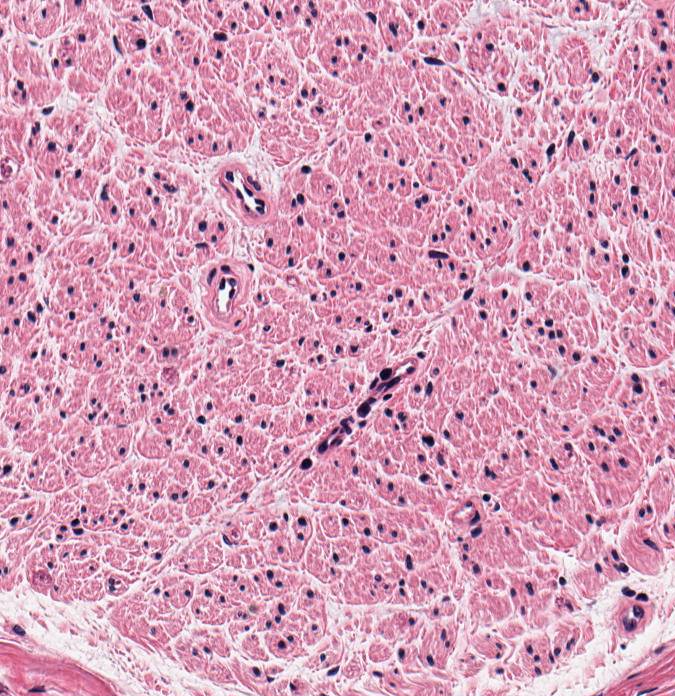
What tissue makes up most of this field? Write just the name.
nerve fascicle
